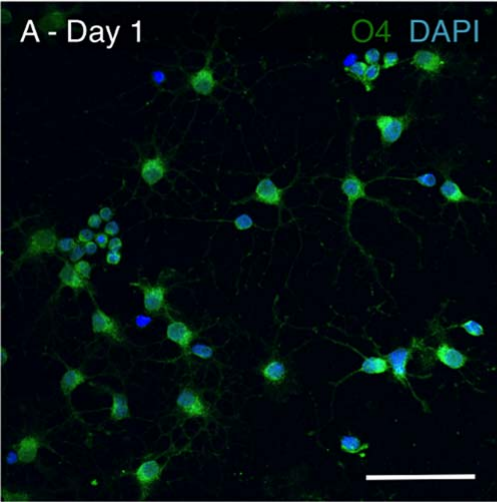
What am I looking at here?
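These are cultured oligodendroglial lineage cells, small round cell bodies stained green around a blue nucleus, scattered singly across a dark background with a few small clusters of rounded cells. Most cells send out several thin, branching processes in many directions, giving them a multipolar, star-like shape. The processes are fine and slender and do not form flat membrane sheets. A few blue nuclei lie without green staining around them.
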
